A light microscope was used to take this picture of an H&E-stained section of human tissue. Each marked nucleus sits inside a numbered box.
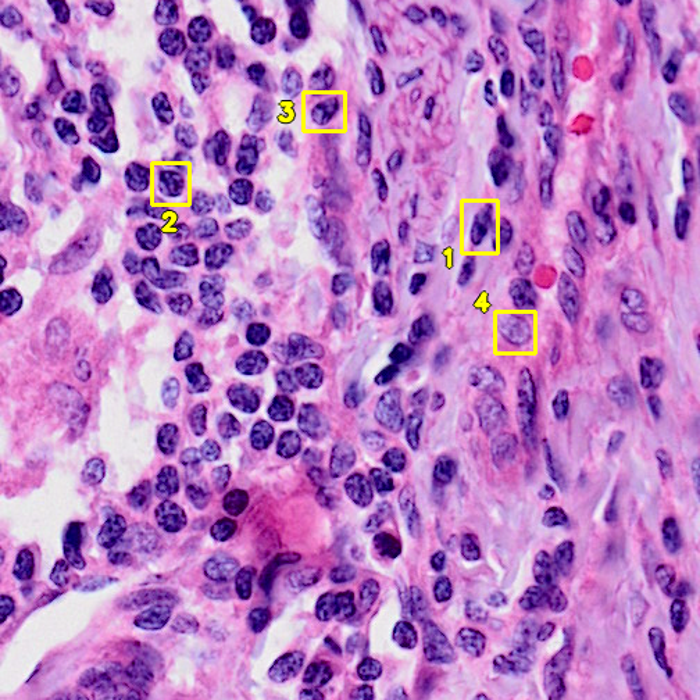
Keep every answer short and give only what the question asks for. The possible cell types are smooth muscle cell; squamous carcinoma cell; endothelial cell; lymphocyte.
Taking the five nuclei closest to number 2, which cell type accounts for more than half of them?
lymphocyte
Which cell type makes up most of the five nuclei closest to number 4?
endothelial cell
